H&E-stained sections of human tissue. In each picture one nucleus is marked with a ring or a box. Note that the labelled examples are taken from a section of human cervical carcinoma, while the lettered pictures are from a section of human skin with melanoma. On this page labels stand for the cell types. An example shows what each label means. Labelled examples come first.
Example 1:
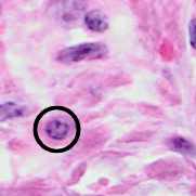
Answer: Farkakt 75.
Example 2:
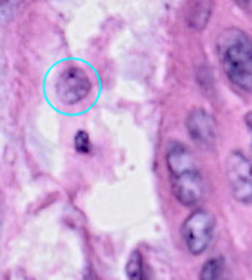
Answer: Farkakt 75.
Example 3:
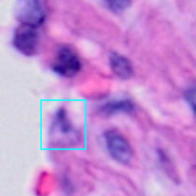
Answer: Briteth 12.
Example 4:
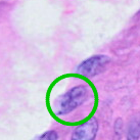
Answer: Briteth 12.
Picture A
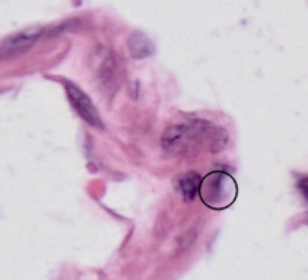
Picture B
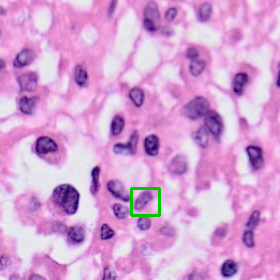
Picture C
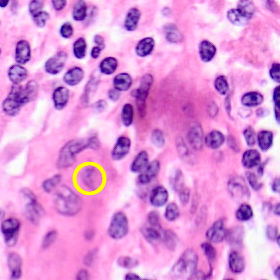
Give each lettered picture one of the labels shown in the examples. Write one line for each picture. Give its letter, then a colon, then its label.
A: Briteth 12.
B: Farkakt 75.
C: Briteth 12.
